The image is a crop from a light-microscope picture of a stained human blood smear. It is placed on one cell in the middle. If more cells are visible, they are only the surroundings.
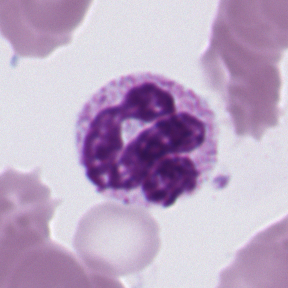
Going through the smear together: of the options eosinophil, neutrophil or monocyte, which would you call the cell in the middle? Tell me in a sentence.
In the center of this field lies a neutrophil.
